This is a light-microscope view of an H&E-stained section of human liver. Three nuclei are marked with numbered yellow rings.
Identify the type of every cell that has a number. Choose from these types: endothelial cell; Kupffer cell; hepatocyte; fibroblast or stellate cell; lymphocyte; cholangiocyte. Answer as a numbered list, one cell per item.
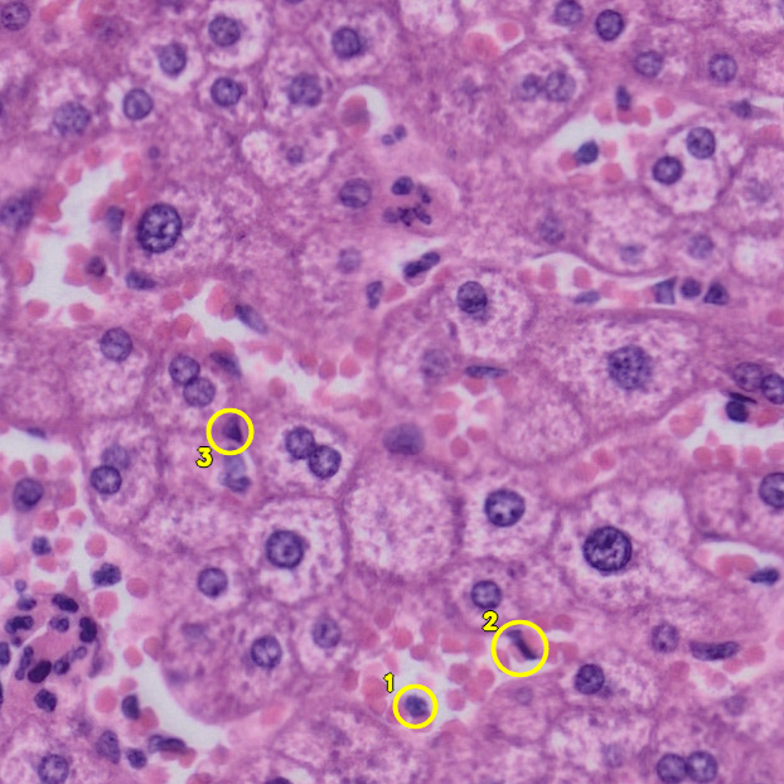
1. lymphocyte
2. endothelial cell
3. fibroblast or stellate cell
